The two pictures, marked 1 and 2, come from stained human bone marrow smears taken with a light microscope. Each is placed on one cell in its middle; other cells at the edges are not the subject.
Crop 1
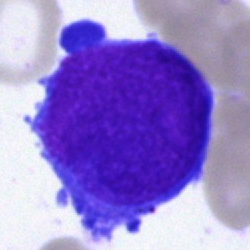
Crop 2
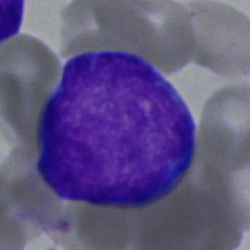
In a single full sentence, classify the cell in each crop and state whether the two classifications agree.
Yes, the cells at the centres of the two crops are blasts.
